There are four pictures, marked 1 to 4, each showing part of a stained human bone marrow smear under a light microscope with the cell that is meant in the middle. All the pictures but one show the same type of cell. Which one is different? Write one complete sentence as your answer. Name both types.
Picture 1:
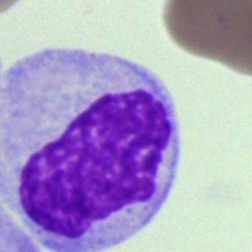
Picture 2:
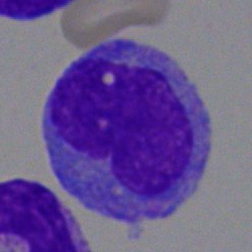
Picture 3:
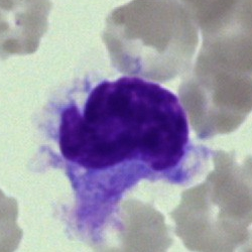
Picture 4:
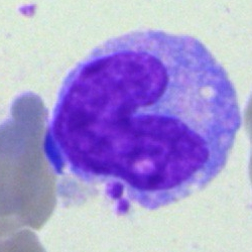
Picture 3 is the odd one out: it shows a hairy cell, while the others show monocytes.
